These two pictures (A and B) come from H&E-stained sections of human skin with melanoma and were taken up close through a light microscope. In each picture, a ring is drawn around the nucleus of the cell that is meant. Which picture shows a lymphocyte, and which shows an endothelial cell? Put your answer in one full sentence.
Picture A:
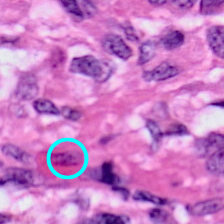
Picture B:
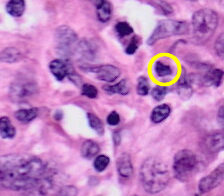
It is picture A that shows an endothelial cell, and picture B that shows a lymphocyte.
